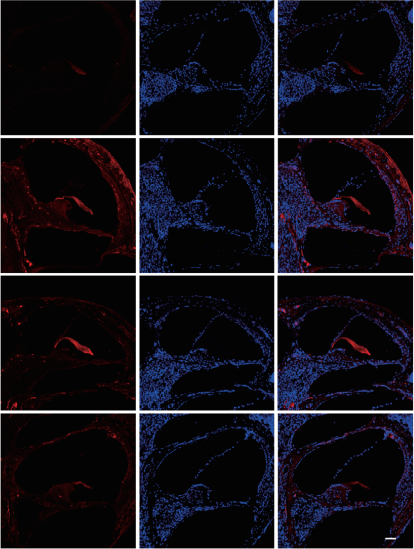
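Cross-sections of the cochlea show large open chambers bounded by thin membranes and a surrounding wall. Blue nuclei are scattered densely through the central core and along the walls and partitions. Red staining follows the walls and membranes of the chambers in varying intensity from row to row, and is strongest and most widespread in the second row. A compact red-stained body lies within one chamber in several rows.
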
